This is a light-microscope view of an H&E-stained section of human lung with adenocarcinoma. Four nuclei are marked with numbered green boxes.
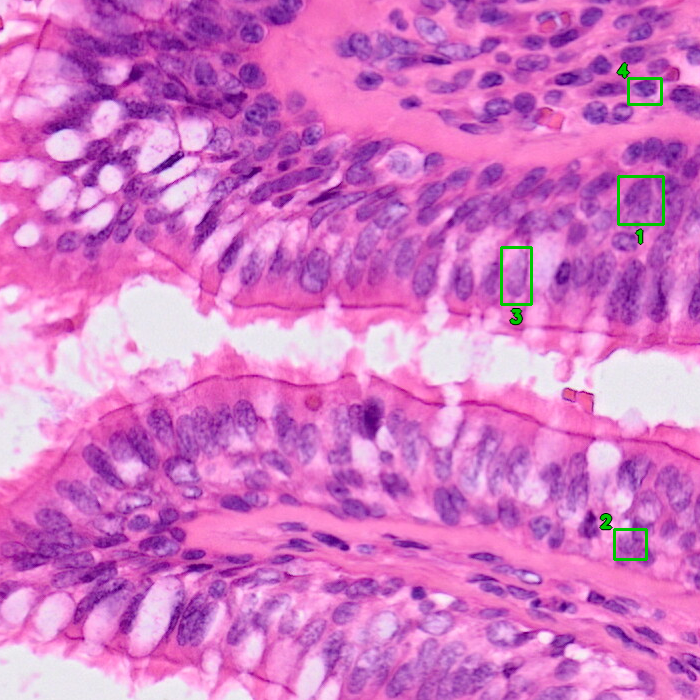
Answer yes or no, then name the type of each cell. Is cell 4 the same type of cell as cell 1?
No, what is marked as cell 4 is a lymphocyte, and what is marked as cell 1 is a ciliated epithelial cell.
